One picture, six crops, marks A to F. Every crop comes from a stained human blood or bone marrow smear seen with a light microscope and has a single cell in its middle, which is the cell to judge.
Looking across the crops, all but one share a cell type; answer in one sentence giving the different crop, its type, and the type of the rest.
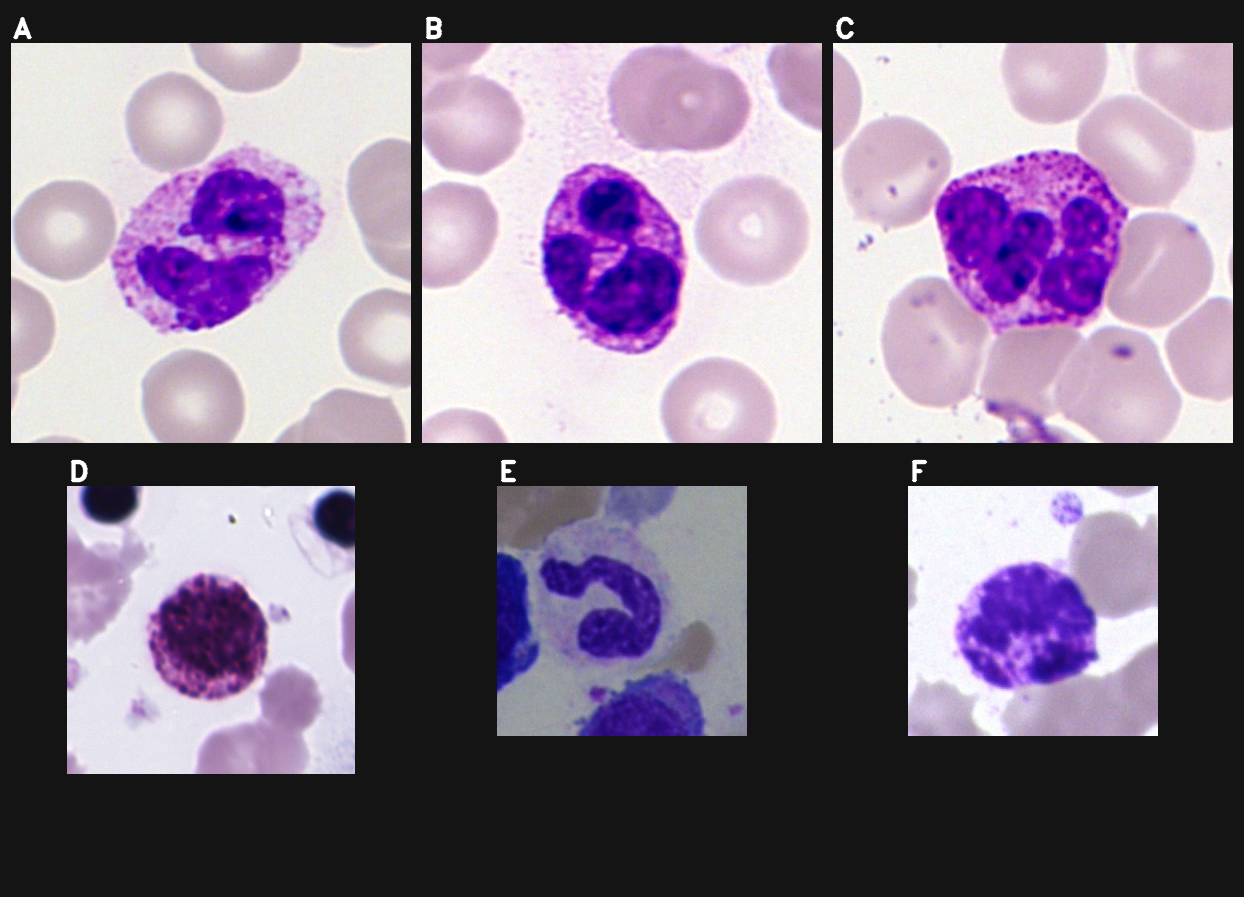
All of the other crops show basophils, while crop E shows a segmented neutrophil instead.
